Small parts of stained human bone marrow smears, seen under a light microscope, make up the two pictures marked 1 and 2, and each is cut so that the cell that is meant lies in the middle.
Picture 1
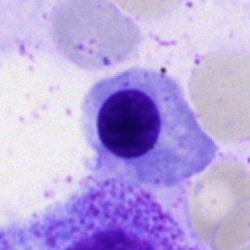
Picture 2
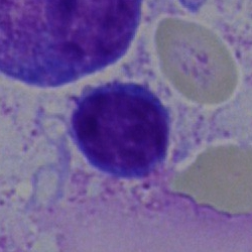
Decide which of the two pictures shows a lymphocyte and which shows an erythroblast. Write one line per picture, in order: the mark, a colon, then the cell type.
1: erythroblast
2: lymphocyte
